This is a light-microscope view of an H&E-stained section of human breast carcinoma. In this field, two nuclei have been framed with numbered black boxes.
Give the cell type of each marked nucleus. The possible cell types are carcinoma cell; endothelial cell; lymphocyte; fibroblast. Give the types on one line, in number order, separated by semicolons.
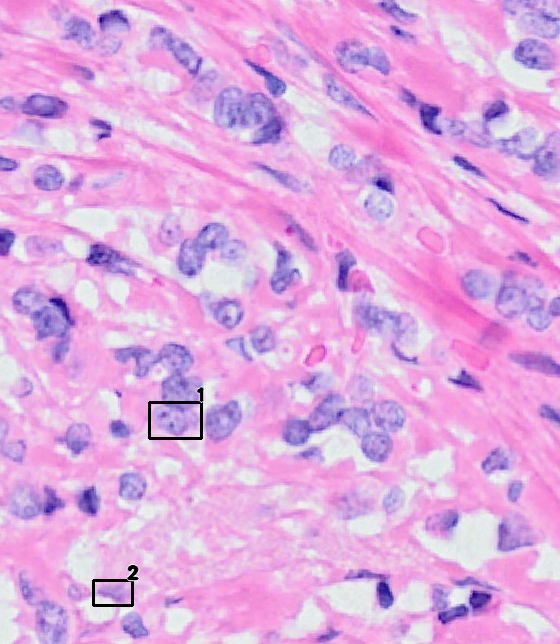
carcinoma cell; fibroblast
